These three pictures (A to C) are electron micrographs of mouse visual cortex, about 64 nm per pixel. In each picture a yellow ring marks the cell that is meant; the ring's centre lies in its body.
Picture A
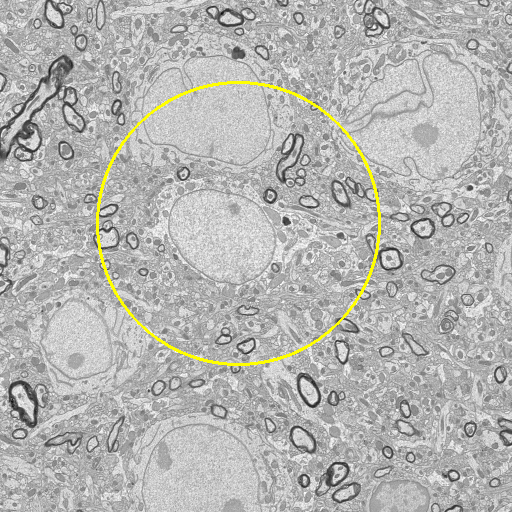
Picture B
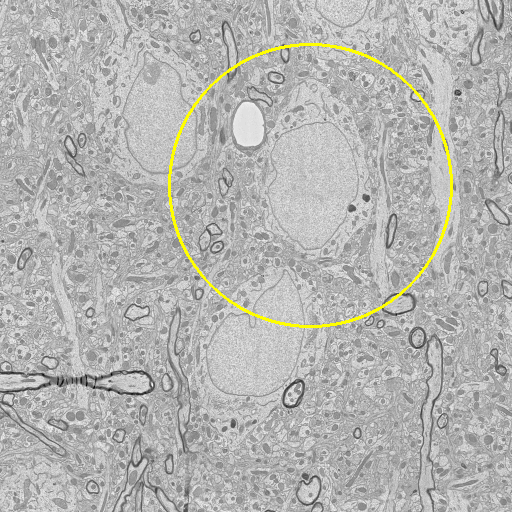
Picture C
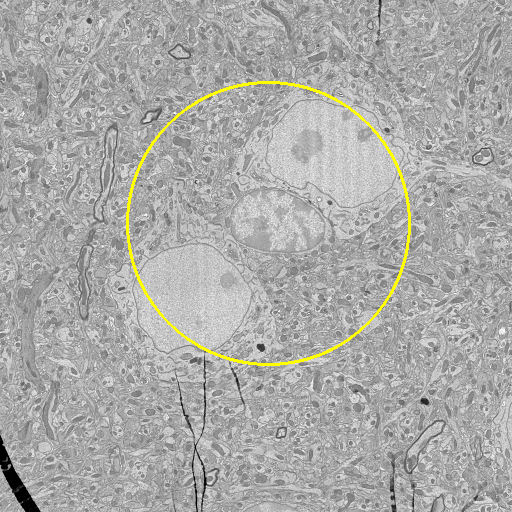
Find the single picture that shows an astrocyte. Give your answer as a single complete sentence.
It is picture A that shows the astrocyte.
